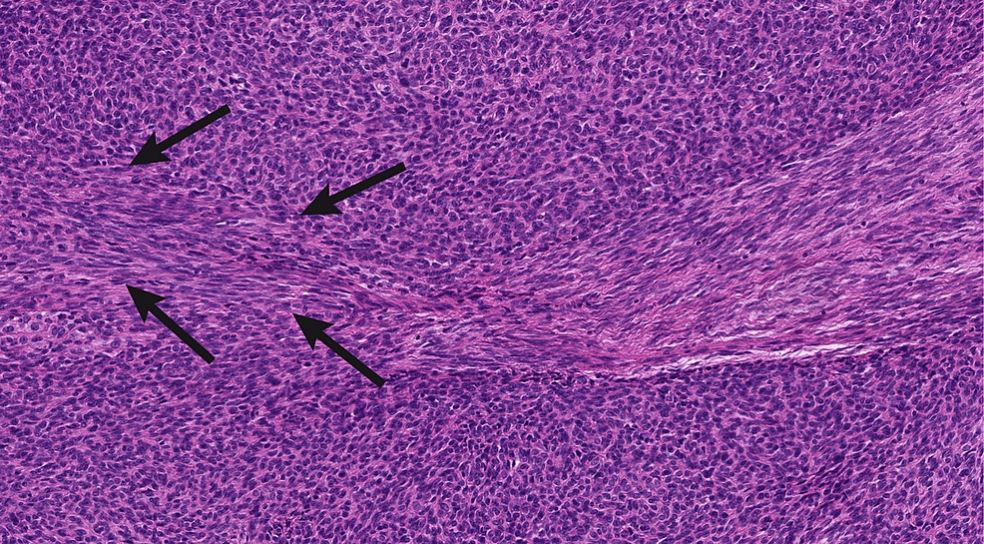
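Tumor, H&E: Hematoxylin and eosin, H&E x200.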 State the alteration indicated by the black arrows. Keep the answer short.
Gradual transition.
